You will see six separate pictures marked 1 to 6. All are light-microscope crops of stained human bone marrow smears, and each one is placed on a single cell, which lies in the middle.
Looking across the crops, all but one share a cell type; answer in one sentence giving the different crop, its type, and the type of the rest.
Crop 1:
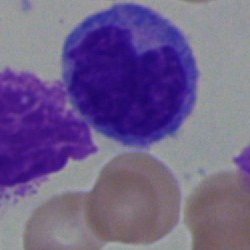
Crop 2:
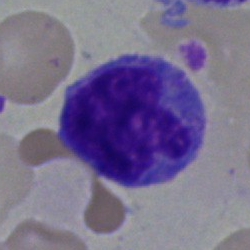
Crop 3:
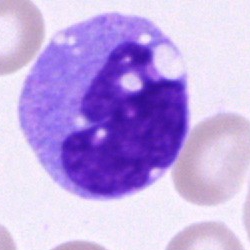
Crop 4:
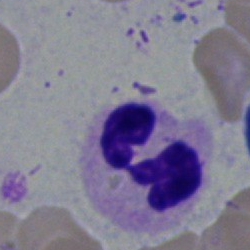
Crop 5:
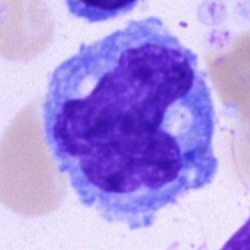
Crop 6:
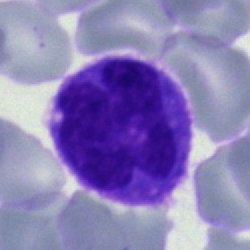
Crop 4 shows a segmented neutrophil, while all of the others show monocytes.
